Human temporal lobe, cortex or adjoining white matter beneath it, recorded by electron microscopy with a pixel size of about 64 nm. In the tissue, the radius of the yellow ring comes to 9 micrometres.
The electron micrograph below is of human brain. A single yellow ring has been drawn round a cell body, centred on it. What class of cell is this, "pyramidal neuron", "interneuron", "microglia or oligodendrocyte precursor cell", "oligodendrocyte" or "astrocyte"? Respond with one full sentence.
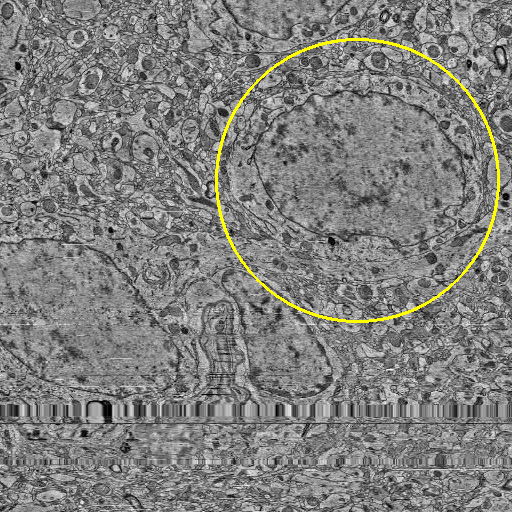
In the micrograph, the cell centred inside the yellow ring is a pyramidal neuron.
